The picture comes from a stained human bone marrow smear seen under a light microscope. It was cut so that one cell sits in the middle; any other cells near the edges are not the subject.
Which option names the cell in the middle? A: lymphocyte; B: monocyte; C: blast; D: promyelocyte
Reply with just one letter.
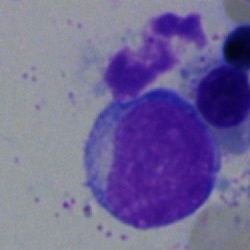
C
